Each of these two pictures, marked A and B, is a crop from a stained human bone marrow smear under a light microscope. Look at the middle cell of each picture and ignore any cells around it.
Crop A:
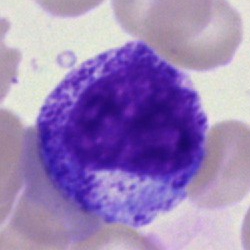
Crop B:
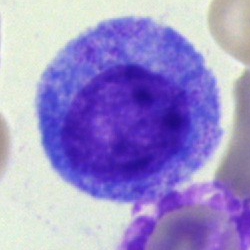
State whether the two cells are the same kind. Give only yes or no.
yes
